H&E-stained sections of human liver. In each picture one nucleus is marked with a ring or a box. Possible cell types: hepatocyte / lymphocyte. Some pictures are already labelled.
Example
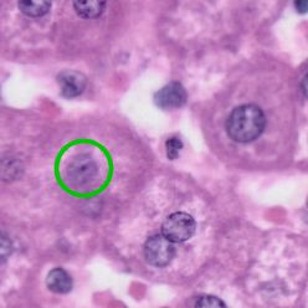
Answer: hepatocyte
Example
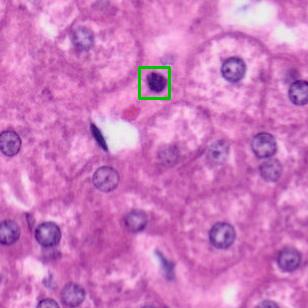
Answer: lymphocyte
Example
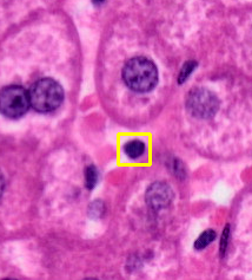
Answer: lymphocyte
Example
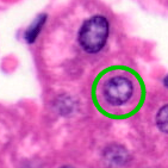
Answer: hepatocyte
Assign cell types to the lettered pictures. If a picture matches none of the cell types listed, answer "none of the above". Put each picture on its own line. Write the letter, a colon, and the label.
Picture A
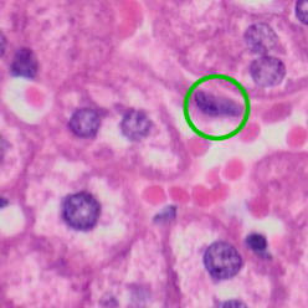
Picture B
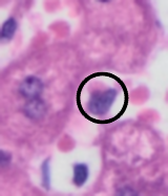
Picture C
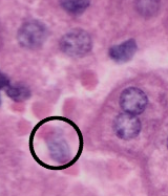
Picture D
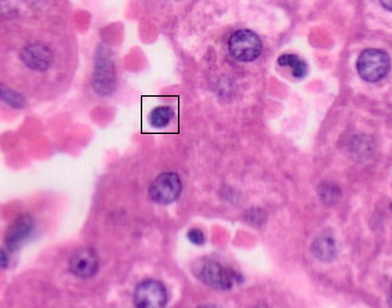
A: none of the above
B: none of the above
C: none of the above
D: lymphocyte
